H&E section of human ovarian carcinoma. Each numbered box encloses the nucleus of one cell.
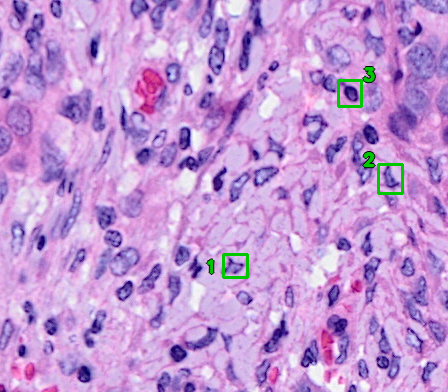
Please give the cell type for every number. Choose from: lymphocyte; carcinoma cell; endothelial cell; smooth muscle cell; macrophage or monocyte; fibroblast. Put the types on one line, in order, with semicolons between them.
fibroblast; fibroblast; lymphocyte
